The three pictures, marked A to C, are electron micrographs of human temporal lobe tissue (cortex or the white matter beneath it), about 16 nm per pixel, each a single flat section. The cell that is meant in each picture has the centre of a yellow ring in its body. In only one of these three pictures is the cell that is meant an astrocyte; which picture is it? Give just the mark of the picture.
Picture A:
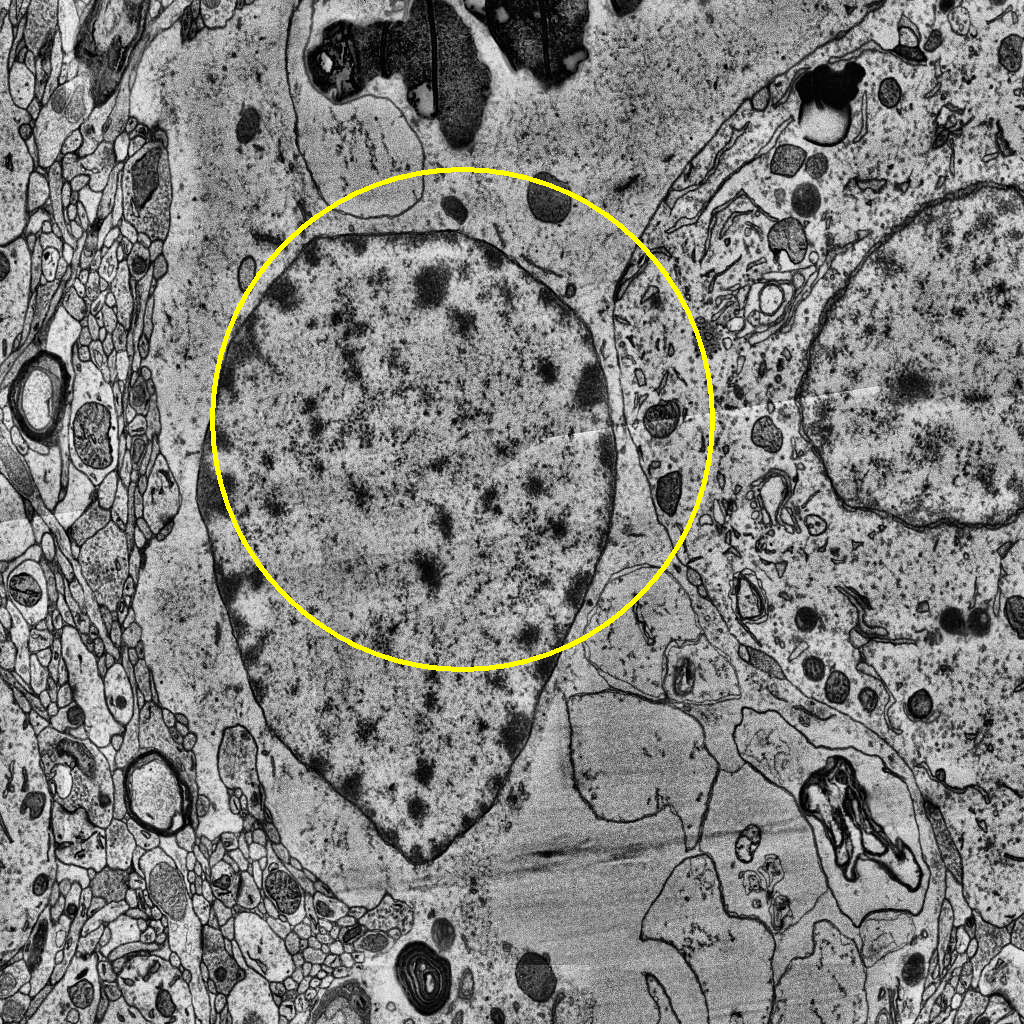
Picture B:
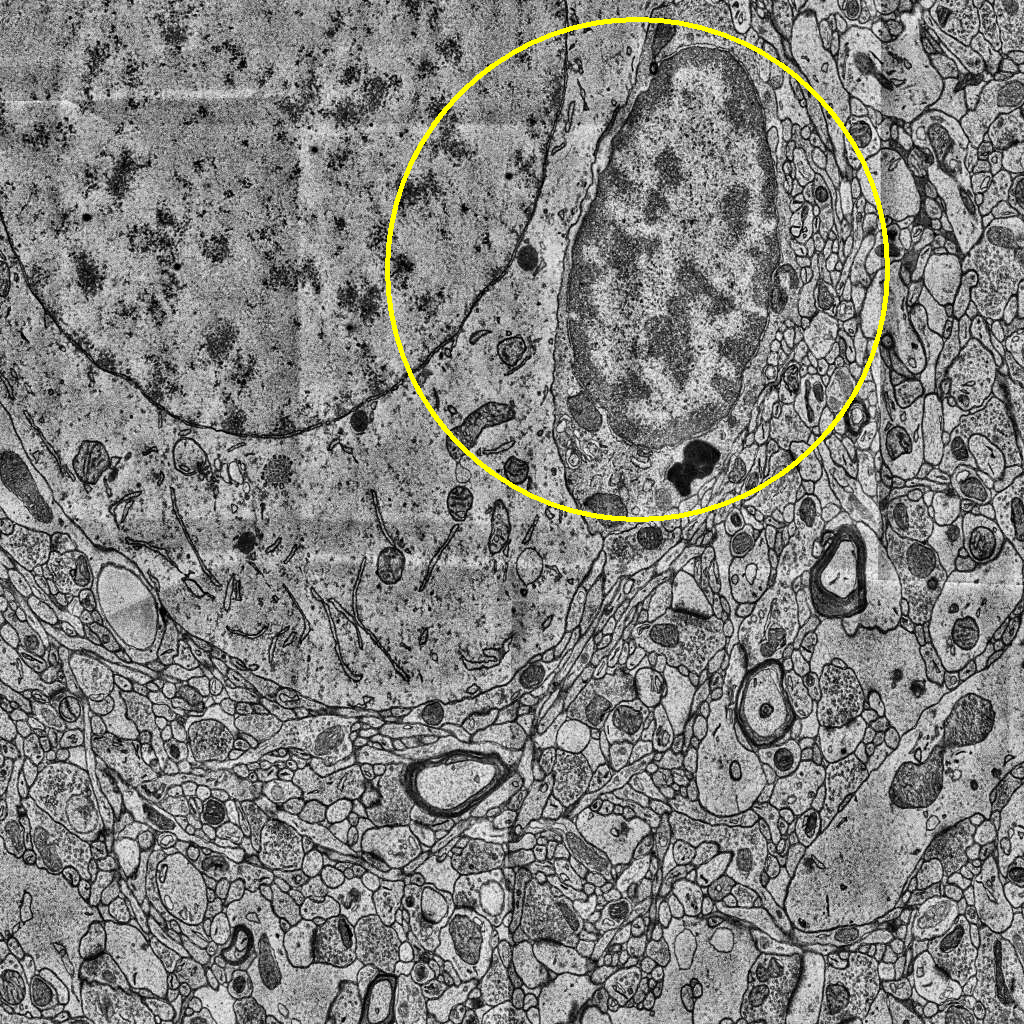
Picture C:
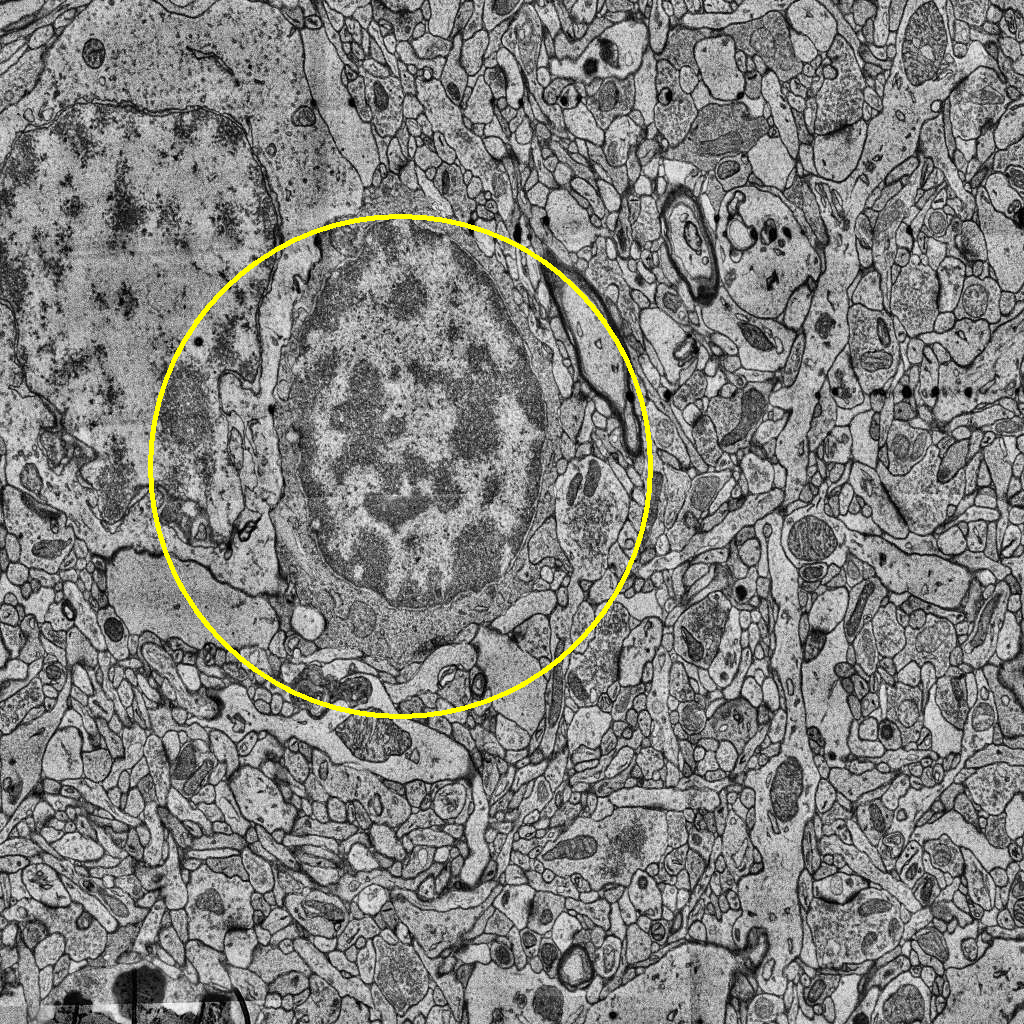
A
